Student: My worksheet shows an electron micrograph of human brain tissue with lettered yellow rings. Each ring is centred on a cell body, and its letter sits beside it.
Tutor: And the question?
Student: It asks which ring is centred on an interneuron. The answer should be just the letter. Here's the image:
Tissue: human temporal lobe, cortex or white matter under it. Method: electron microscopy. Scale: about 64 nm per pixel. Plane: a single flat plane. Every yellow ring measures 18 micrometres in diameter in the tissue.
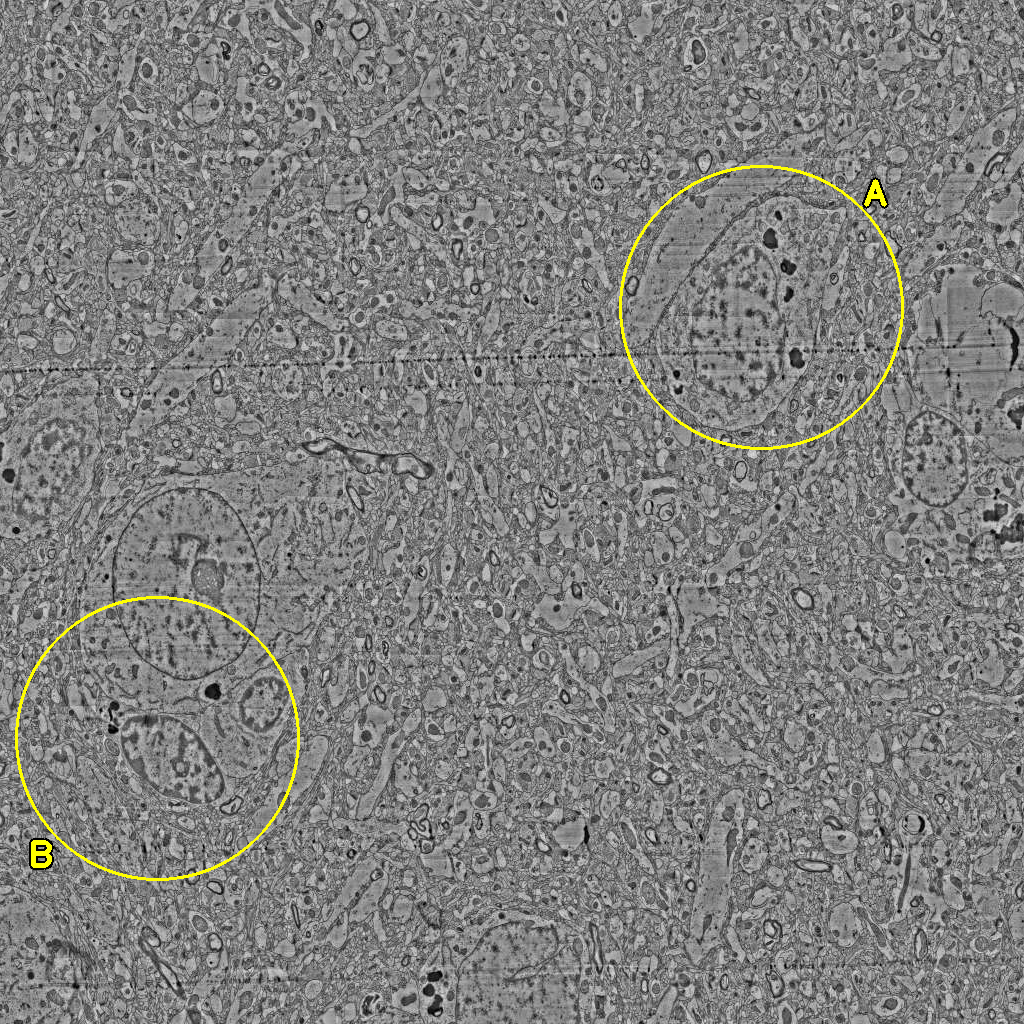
A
